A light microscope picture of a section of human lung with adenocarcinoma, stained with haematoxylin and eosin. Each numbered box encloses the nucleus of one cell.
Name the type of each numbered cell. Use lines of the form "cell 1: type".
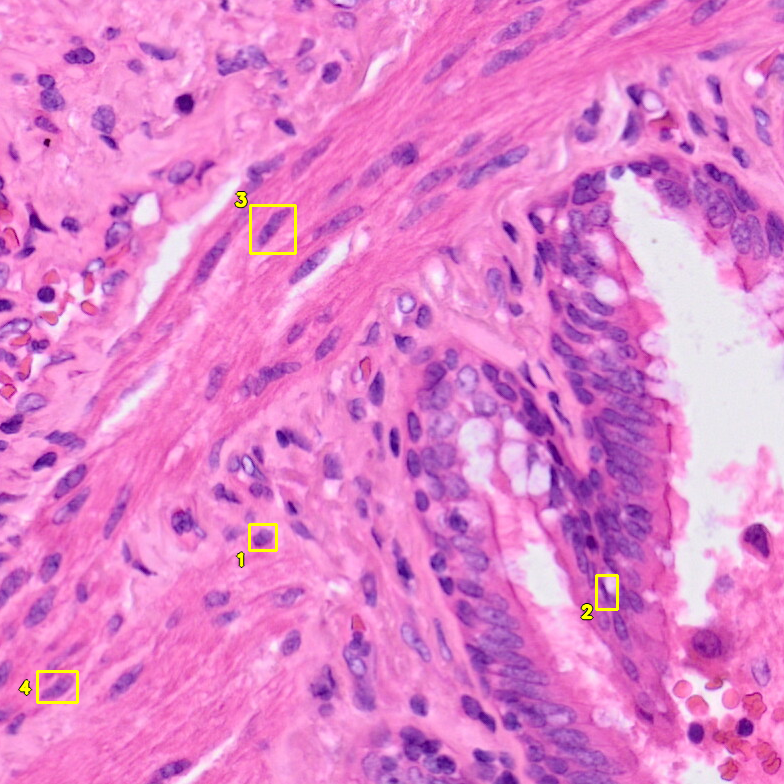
cell 1: smooth muscle cell or pericyte
cell 2: ciliated epithelial cell
cell 3: smooth muscle cell or pericyte
cell 4: smooth muscle cell or pericyte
